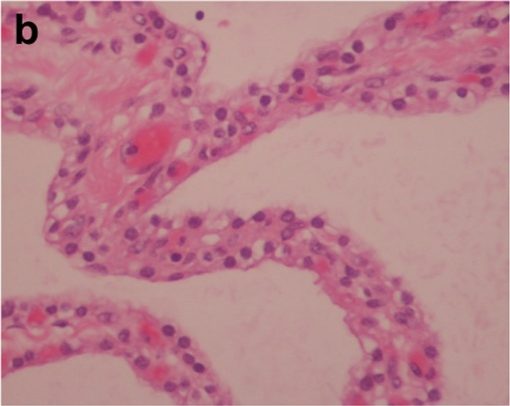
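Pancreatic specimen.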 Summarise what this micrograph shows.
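These are thin cyst walls, each lined by a single layer of cuboidal epithelial cells facing the empty cyst spaces. The cells have small, round, dark nuclei and pale, nearly clear cytoplasm, and they sit on a thin core of pink connective tissue that carries small blood vessels with red blood cells.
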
